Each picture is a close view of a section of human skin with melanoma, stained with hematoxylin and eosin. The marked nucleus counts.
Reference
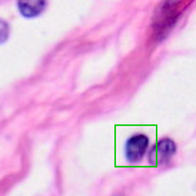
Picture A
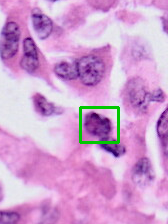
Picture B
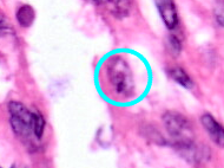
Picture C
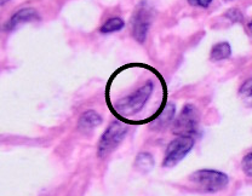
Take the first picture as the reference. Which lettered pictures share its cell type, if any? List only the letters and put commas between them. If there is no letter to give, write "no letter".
no letter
